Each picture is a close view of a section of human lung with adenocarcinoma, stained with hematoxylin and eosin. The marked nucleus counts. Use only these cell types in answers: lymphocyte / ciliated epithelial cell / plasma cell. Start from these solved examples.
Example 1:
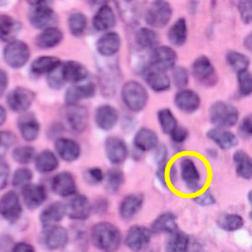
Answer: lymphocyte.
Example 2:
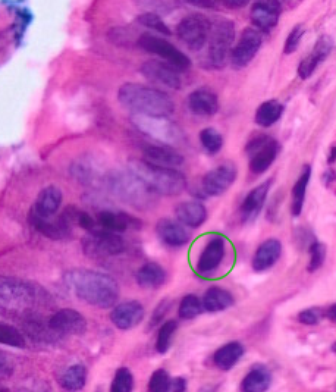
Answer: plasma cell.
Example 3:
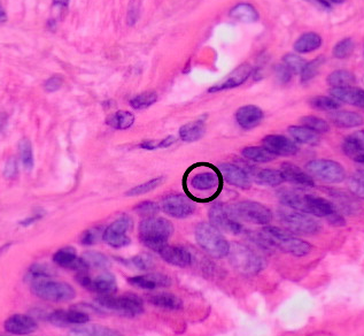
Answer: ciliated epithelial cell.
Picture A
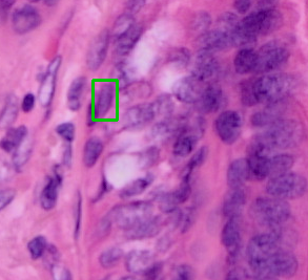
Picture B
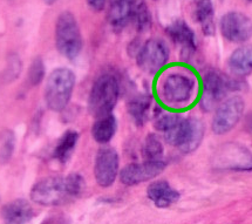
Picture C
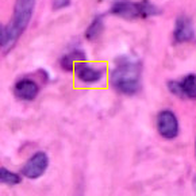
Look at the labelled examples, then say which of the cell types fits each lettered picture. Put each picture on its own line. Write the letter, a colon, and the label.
A: ciliated epithelial cell.
B: ciliated epithelial cell.
C: plasma cell.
